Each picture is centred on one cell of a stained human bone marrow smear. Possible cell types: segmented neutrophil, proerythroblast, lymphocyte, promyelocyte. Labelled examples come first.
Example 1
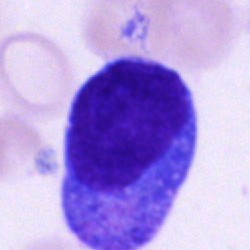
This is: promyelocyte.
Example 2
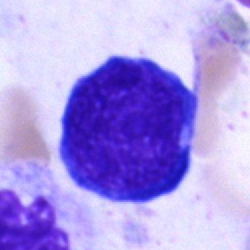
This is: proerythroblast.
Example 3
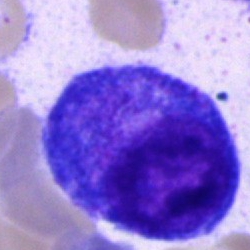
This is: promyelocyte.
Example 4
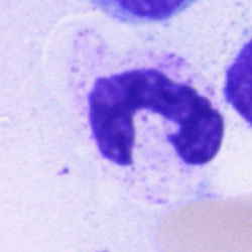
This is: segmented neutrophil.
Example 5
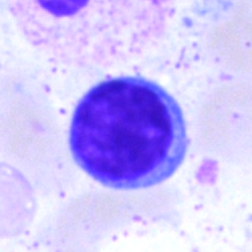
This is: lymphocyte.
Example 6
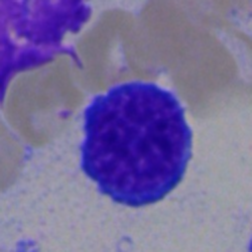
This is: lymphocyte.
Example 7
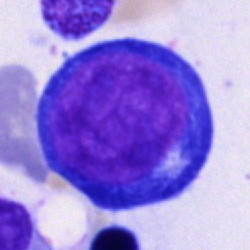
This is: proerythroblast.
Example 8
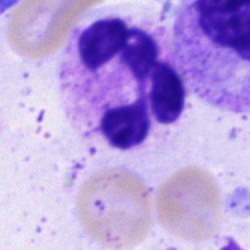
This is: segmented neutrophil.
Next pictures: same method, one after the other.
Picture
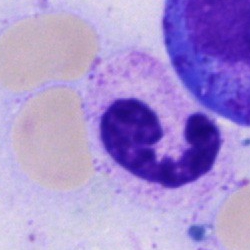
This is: segmented neutrophil.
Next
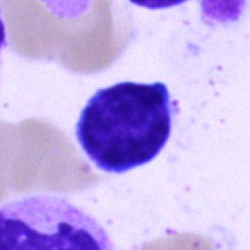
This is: lymphocyte.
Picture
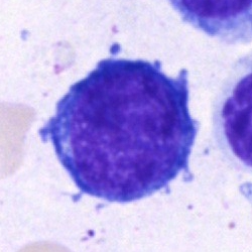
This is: proerythroblast.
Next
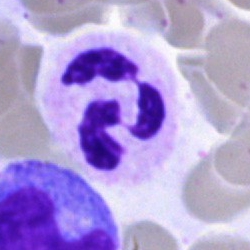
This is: segmented neutrophil.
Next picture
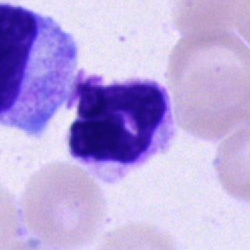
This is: segmented neutrophil.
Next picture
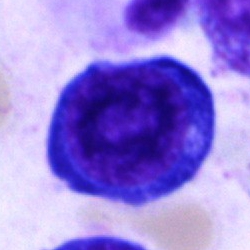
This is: proerythroblast.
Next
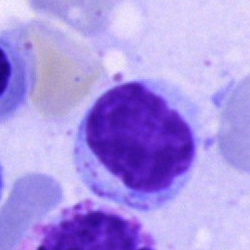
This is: lymphocyte.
